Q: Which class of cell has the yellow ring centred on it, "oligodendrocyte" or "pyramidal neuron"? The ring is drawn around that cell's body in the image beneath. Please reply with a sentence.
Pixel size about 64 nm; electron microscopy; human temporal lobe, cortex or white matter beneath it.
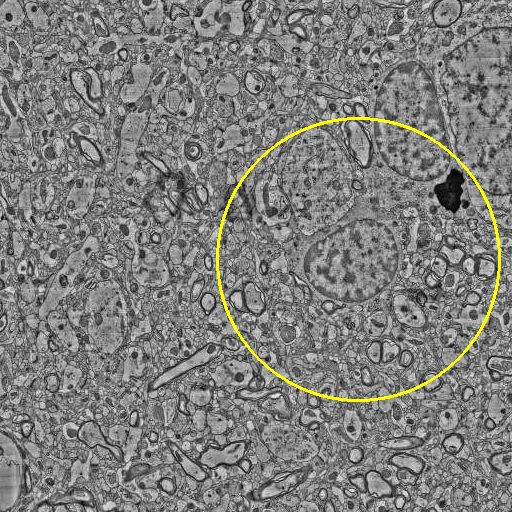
It is centred on an oligodendrocyte.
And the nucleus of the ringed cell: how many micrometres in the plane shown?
In this plane, roughly 6 by 5 micrometres.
